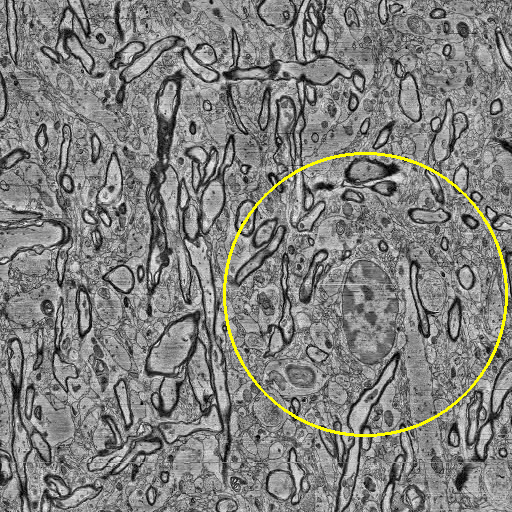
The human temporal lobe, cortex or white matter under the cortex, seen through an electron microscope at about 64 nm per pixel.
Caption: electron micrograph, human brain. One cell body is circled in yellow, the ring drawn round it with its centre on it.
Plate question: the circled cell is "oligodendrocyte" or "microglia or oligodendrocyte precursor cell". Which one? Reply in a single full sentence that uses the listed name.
The yellow ring on the plate is centred on a microglial cell or oligodendrocyte precursor cell, going by the listed names.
